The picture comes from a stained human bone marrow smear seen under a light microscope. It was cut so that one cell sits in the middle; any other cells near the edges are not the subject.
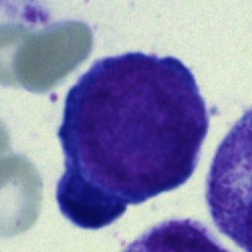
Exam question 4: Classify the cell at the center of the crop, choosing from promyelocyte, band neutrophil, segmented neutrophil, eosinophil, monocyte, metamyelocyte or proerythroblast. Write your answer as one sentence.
At the crop's centre, the cell is a proerythroblast.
